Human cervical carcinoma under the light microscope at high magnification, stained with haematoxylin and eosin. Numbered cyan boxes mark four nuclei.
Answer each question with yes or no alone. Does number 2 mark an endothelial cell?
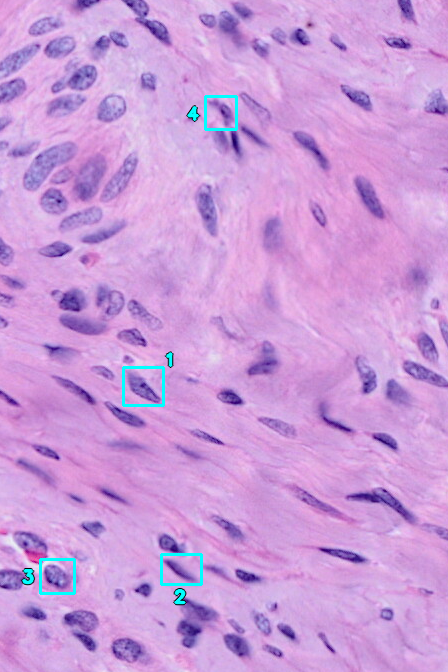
no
